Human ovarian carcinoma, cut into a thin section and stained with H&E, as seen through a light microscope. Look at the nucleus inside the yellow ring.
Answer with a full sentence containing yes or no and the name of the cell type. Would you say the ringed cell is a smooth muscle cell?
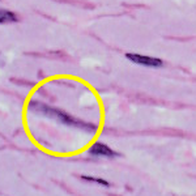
No, that is wrong: the ringed cell is a fibroblast, not a smooth muscle cell.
